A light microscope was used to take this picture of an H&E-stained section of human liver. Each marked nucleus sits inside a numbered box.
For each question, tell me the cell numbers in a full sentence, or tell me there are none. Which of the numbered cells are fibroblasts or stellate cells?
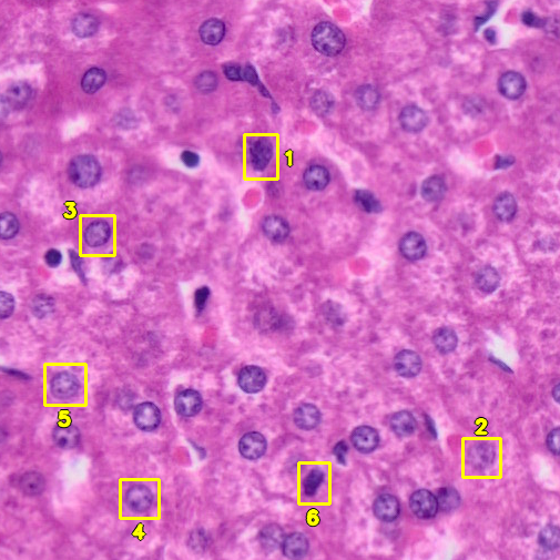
The cells marked 1 and 6 in the section are fibroblasts or stellate cells.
